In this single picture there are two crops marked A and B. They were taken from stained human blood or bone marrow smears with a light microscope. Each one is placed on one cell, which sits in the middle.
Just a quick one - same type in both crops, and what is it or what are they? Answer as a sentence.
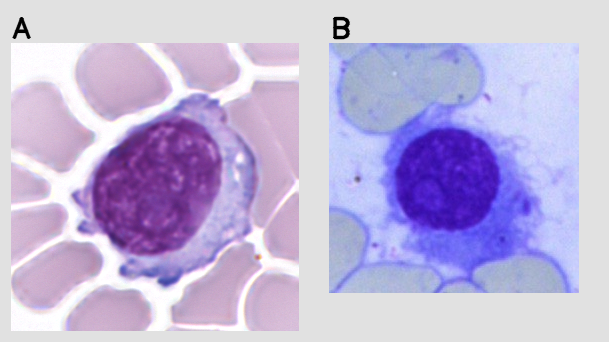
Yes, both crops show plasma cells in their central position.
